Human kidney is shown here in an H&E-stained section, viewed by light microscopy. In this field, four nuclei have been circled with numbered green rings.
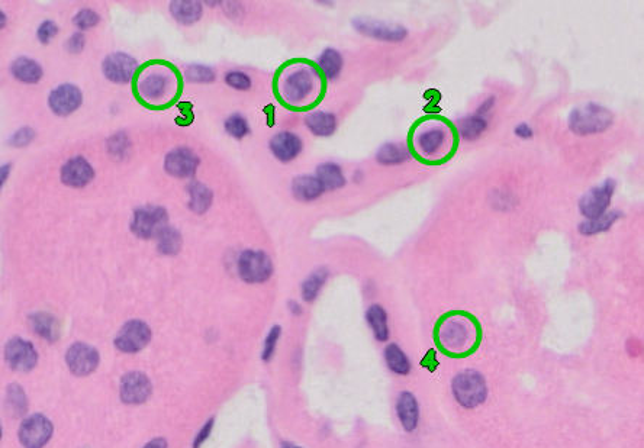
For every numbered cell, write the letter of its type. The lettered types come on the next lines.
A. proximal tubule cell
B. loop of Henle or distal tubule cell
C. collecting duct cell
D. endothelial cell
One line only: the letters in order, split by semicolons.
C; C; C; A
